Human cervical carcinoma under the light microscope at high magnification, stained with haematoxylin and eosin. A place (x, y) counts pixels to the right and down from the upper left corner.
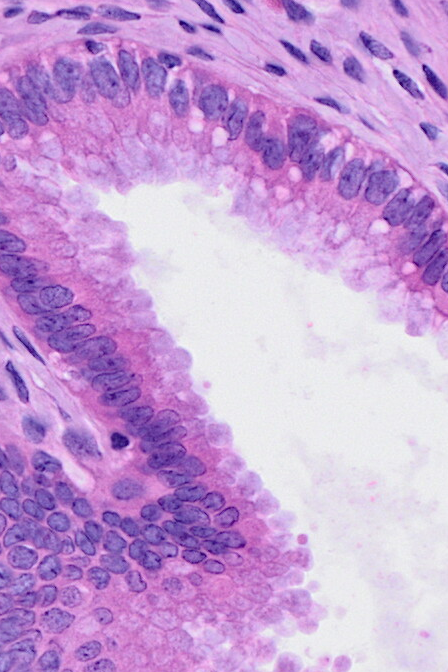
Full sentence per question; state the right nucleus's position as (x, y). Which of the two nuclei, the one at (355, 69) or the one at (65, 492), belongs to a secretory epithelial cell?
So, of the two, the nucleus at (65, 492) is the one belonging to a secretory epithelial cell.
